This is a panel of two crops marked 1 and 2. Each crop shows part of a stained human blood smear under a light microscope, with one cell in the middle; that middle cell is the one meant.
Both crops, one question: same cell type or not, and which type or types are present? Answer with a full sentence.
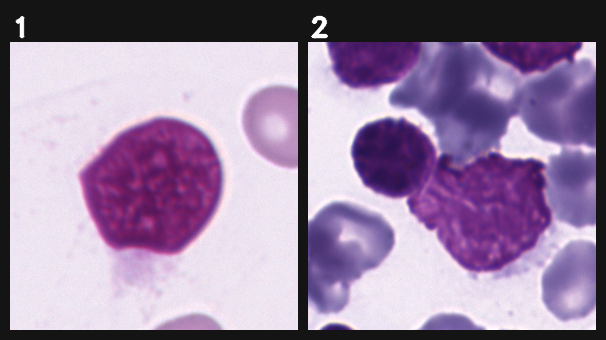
No, for crop 1 the cell is a smudge cell, and for crop 2 it is a myeloblast.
